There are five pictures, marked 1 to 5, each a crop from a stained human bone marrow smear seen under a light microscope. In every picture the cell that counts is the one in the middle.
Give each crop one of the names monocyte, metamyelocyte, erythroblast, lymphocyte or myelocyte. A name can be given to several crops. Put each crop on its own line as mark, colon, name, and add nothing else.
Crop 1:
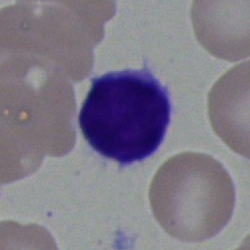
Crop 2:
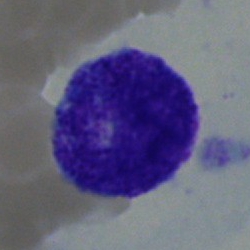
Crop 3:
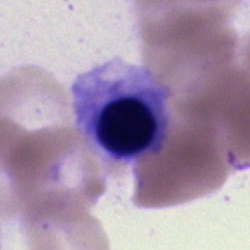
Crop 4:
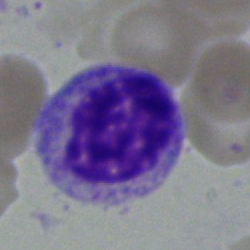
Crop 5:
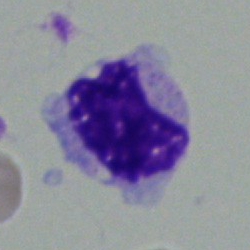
1: lymphocyte
2: myelocyte
3: erythroblast
4: myelocyte
5: metamyelocyte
